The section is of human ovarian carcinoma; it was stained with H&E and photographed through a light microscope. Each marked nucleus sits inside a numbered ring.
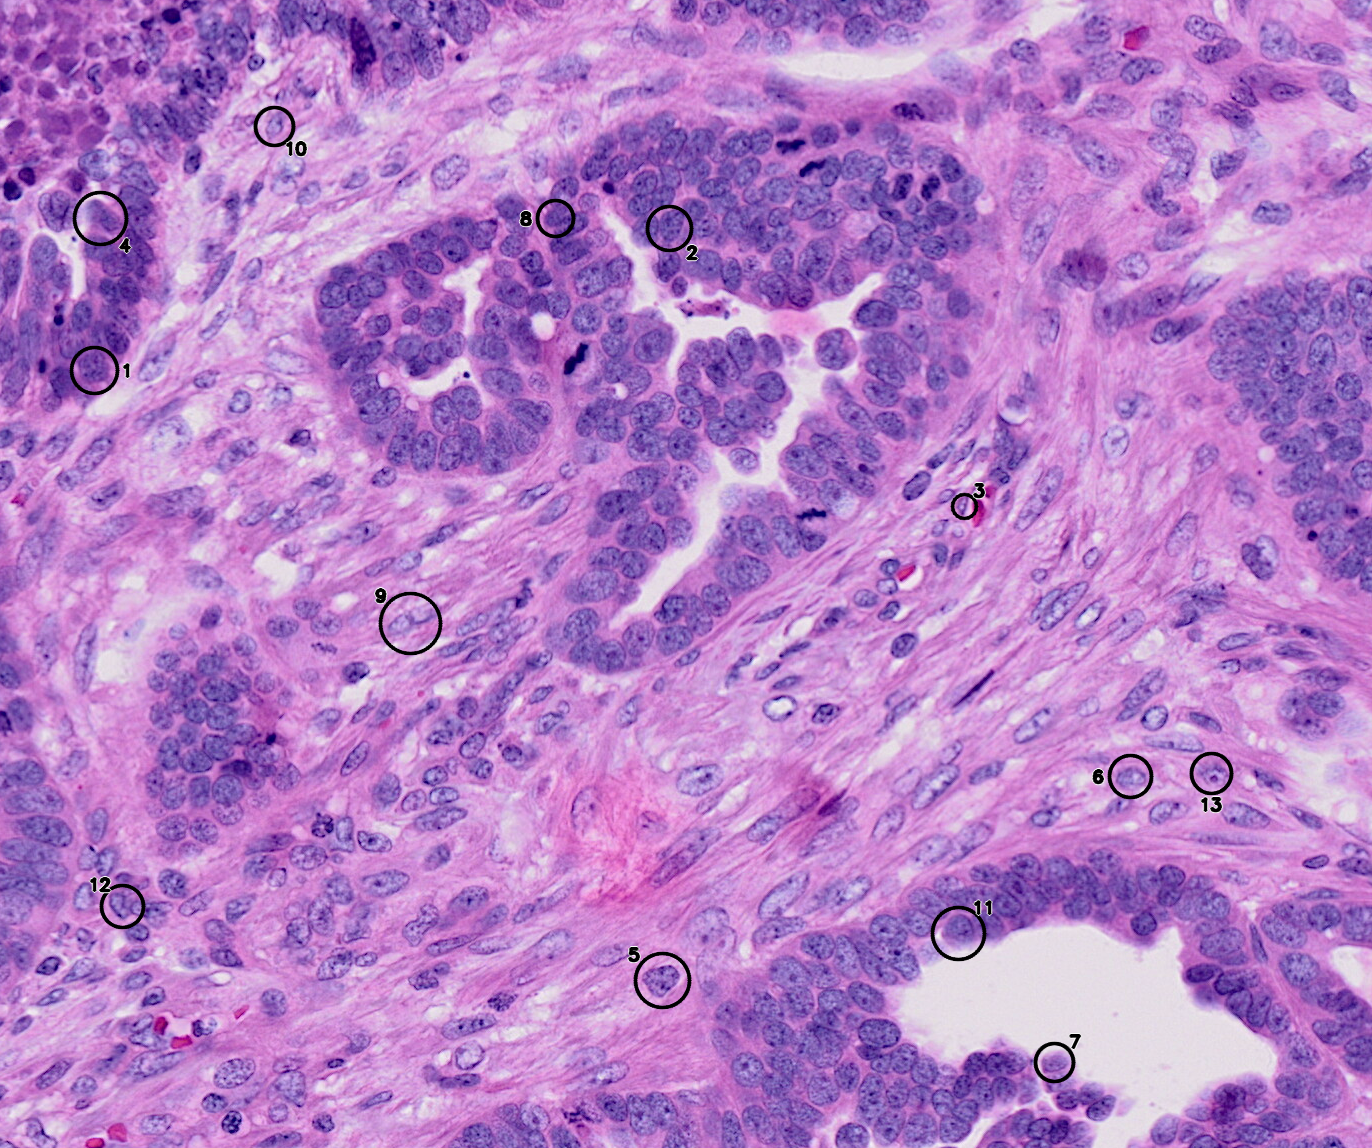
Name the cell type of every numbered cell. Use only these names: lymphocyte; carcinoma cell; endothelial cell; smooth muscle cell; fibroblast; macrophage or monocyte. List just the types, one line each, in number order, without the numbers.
carcinoma cell
carcinoma cell
endothelial cell
carcinoma cell
macrophage or monocyte
fibroblast
carcinoma cell
carcinoma cell
fibroblast
fibroblast
carcinoma cell
endothelial cell
fibroblast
